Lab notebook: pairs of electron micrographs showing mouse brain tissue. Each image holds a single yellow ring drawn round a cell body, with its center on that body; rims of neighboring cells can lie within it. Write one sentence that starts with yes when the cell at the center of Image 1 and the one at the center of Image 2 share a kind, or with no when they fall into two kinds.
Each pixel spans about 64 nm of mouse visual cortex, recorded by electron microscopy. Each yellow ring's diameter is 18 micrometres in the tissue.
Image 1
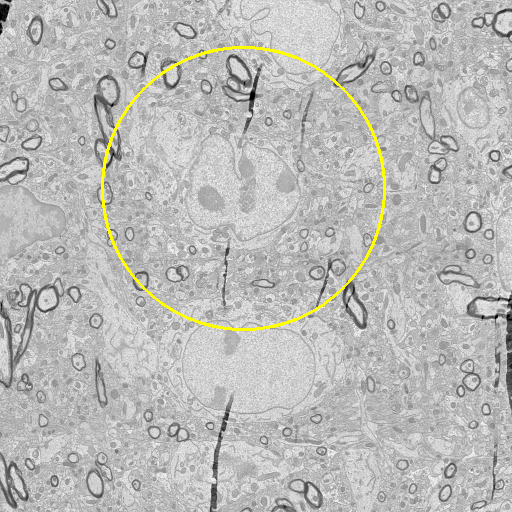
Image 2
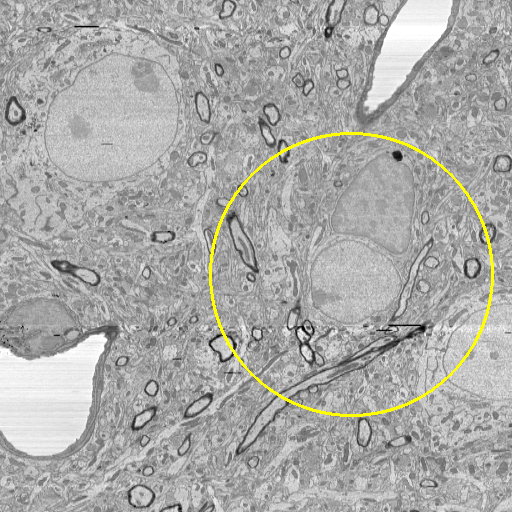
Yes, the centered cell in Image 1 and the centered cell in Image 2 are of one kind.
